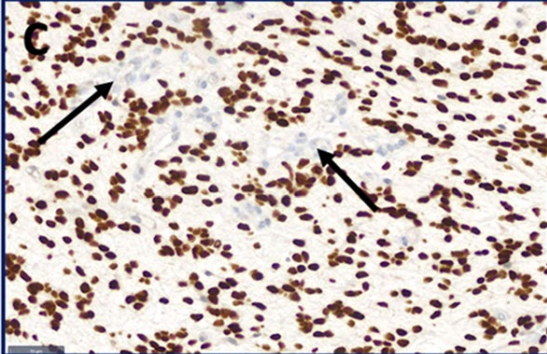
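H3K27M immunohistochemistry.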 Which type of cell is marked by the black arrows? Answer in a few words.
Endothelial cells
